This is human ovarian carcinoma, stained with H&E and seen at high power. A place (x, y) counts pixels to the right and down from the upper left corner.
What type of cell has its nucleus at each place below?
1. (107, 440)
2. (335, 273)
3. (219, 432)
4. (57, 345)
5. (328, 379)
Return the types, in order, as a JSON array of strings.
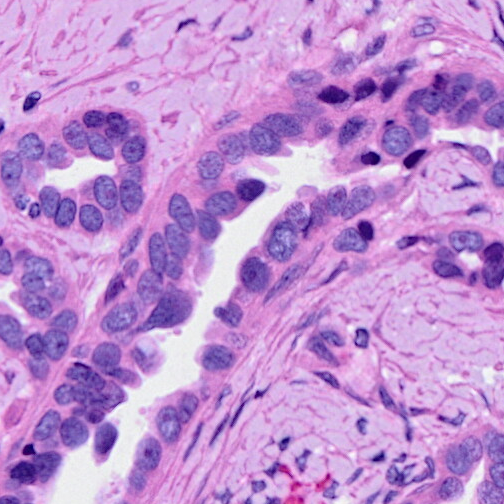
["carcinoma cell", "fibroblast", "fibroblast", "carcinoma cell", "fibroblast"]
